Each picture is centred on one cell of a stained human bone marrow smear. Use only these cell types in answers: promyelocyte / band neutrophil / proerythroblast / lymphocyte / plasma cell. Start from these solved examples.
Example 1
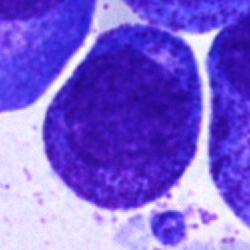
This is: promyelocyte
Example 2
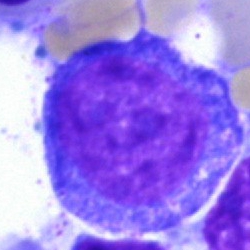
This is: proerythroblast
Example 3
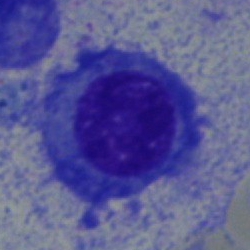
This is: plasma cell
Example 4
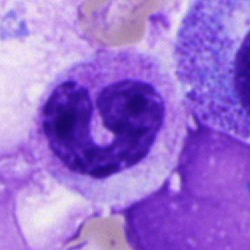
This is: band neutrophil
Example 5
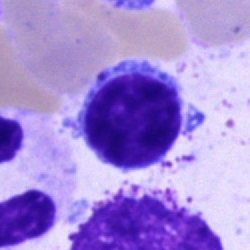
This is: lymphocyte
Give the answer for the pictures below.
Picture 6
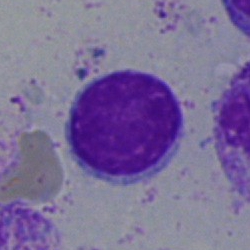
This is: lymphocyte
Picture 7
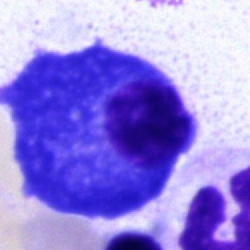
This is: plasma cell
